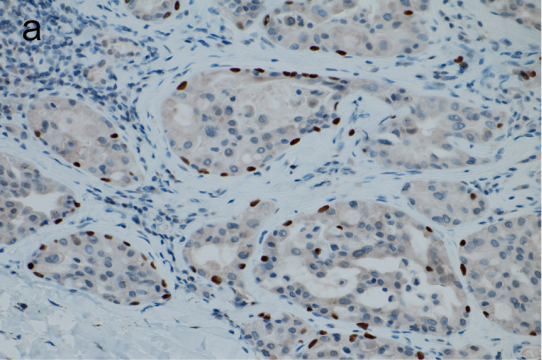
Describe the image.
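Rounded epithelial nests of a tumor lie in fibrous stroma, each rimmed by myoepithelium whose nuclei are stained brown. The inner tumor cells have round, pale blue nuclei and pale cytoplasm, with small lumina inside some nests. The stroma between nests holds spindle cells and small dark blue lymphoid nuclei.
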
